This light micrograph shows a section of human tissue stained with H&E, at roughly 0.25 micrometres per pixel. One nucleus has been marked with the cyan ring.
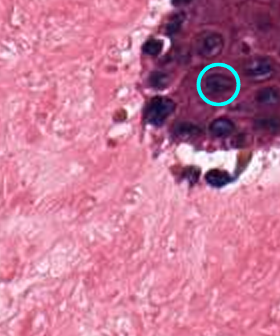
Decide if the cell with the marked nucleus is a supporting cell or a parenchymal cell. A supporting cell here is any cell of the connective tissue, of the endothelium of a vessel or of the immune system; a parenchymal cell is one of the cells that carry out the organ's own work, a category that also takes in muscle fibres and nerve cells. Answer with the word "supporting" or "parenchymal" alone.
parenchymal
